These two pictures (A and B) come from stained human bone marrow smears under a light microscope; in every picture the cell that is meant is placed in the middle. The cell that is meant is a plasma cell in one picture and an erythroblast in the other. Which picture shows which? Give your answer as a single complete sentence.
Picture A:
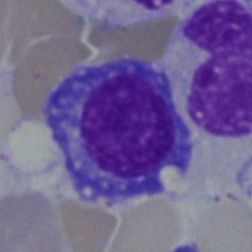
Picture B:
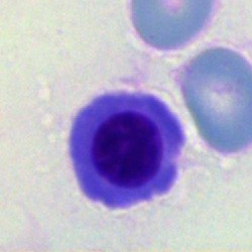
Picture A is of a plasma cell, and picture B is of an erythroblast.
